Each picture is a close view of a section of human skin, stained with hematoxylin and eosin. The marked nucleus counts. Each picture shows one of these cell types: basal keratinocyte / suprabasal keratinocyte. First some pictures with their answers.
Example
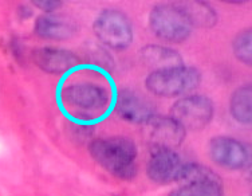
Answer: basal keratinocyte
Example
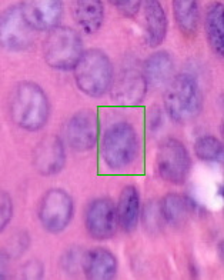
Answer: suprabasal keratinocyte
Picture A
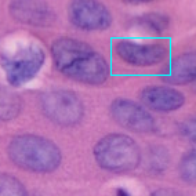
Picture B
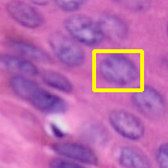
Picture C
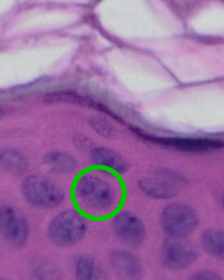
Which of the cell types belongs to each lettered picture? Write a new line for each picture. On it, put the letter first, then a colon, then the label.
A: basal keratinocyte
B: suprabasal keratinocyte
C: suprabasal keratinocyte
